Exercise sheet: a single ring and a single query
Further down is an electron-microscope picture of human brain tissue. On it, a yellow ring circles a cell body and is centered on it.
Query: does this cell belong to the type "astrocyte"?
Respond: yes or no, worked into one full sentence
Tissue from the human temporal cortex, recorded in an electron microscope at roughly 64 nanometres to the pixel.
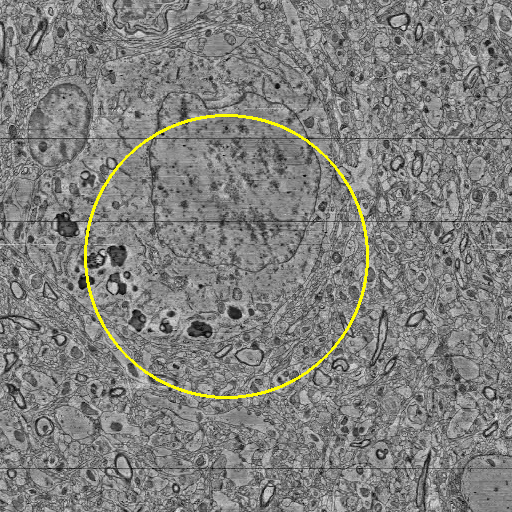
No, this ringed cell, found at the center of the ring in the picture, is of a different type.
